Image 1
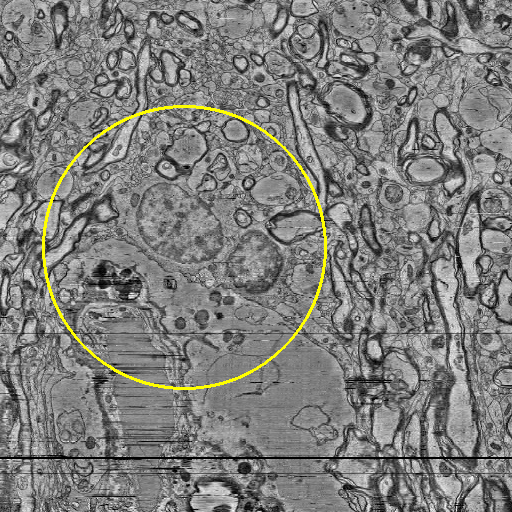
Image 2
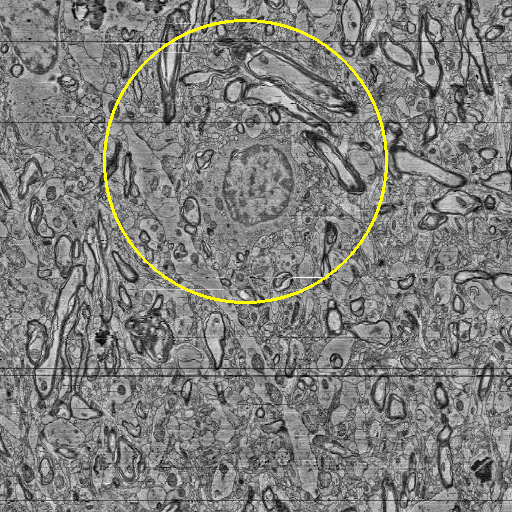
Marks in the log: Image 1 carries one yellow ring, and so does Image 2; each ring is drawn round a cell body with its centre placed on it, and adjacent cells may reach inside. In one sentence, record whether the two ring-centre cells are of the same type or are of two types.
The two cells at the ring centres, one in each image, are of the same type.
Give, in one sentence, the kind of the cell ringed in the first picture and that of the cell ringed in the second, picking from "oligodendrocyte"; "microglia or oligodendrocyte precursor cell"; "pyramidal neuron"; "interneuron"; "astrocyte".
The ring centre holds an oligodendrocyte in each of the two pictures.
